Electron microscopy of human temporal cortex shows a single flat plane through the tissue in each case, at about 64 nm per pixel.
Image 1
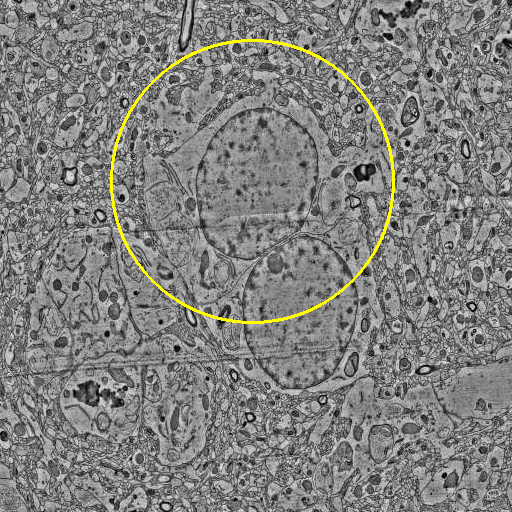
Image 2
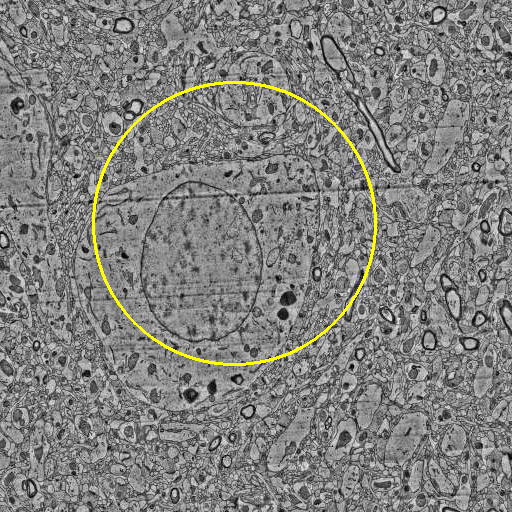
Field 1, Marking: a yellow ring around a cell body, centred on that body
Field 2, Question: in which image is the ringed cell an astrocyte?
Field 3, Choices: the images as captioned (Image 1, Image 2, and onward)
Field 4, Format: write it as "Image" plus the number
Image 1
